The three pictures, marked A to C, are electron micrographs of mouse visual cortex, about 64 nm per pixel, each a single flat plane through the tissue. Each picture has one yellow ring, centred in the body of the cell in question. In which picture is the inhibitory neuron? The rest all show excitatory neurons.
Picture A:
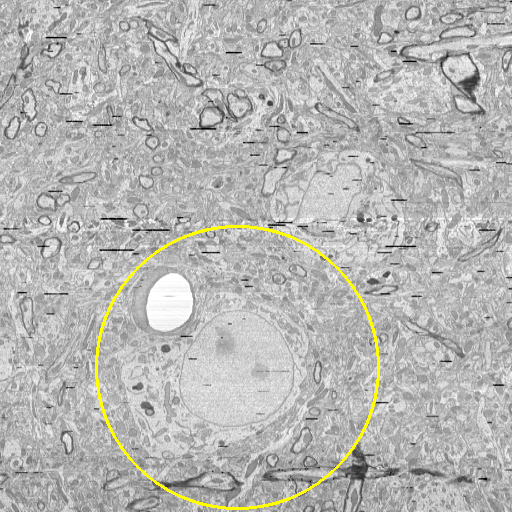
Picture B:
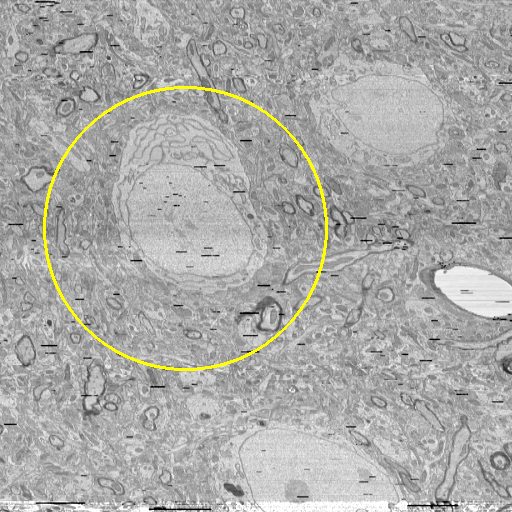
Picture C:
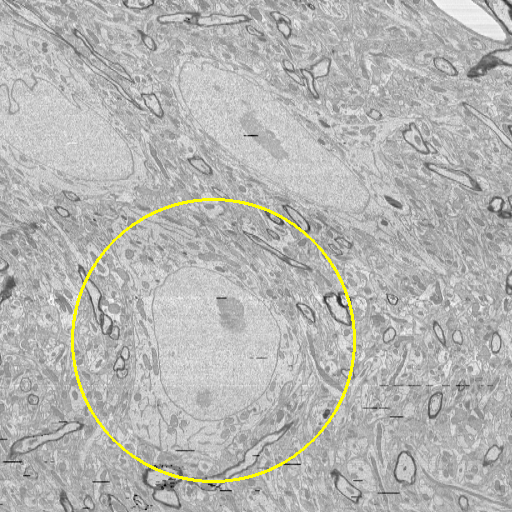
The picture with the inhibitory neuron is B.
